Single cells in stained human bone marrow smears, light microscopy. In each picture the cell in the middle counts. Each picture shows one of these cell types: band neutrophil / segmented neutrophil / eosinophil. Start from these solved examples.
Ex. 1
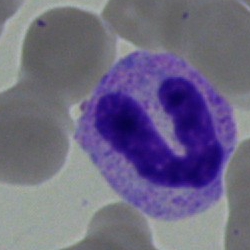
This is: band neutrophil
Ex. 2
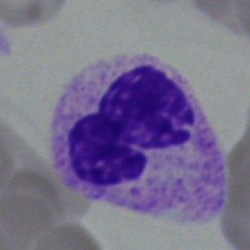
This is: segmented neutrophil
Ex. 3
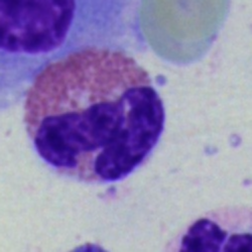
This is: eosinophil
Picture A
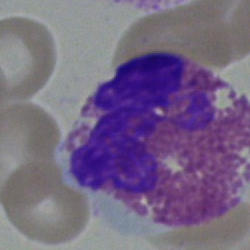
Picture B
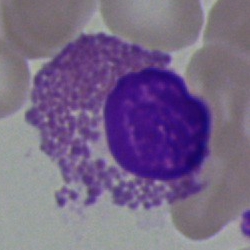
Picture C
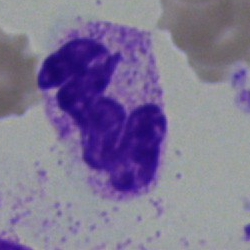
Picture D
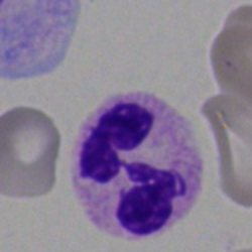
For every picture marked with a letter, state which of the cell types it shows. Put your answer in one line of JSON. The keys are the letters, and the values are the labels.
{"A": "eosinophil", "B": "eosinophil", "C": "segmented neutrophil", "D": "segmented neutrophil"}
